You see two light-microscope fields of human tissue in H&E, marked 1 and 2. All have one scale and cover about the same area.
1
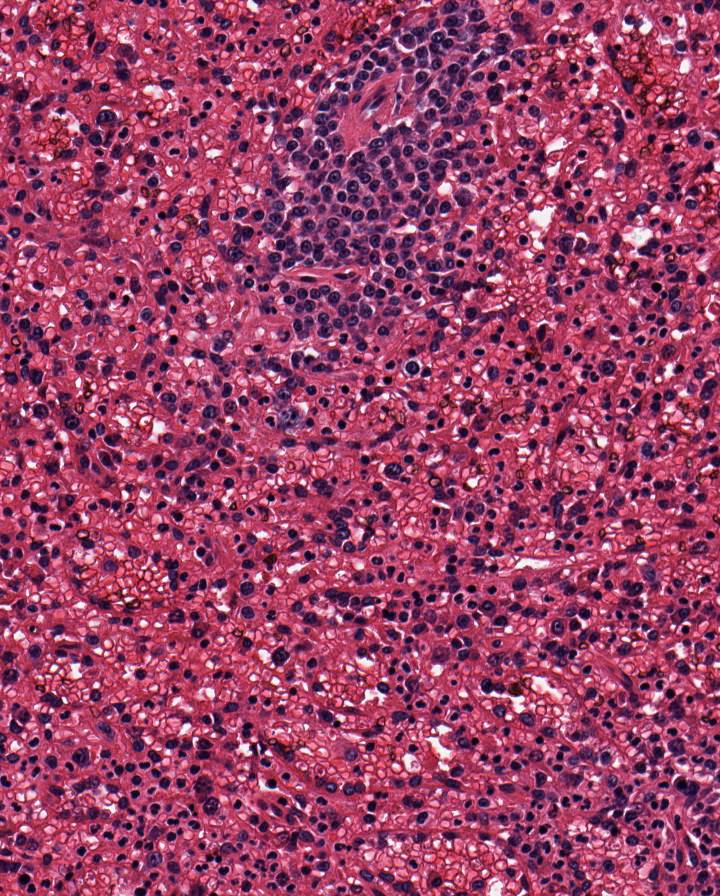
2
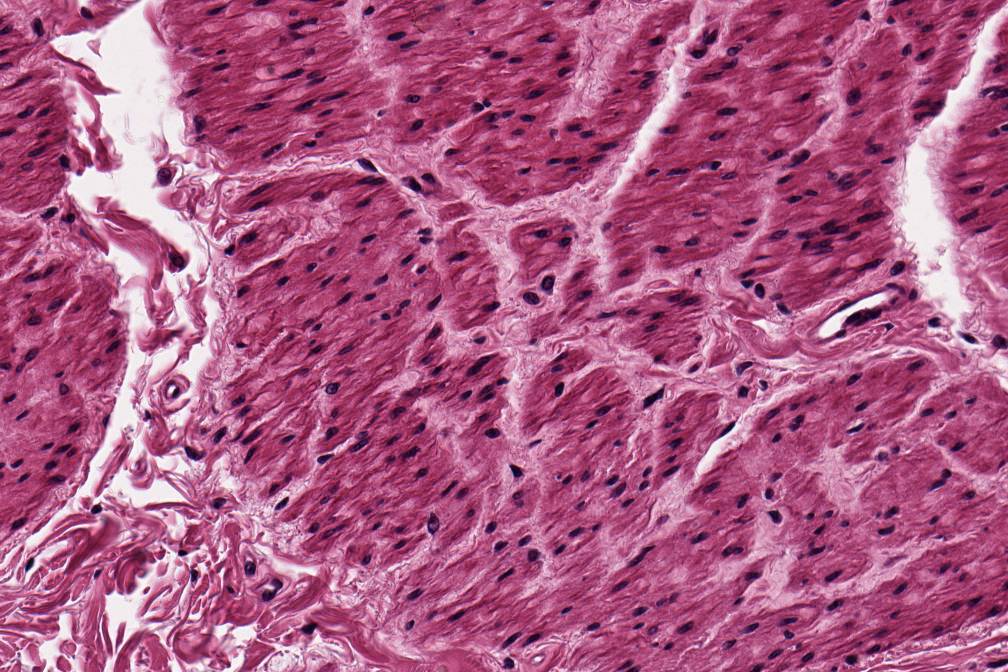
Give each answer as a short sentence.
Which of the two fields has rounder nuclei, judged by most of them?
It is field 1 whose nuclei are the rounder.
